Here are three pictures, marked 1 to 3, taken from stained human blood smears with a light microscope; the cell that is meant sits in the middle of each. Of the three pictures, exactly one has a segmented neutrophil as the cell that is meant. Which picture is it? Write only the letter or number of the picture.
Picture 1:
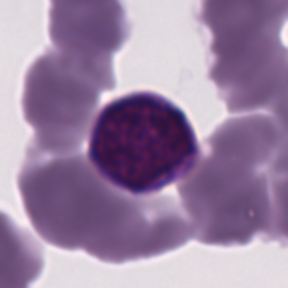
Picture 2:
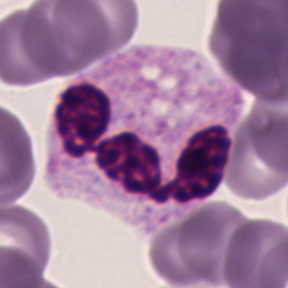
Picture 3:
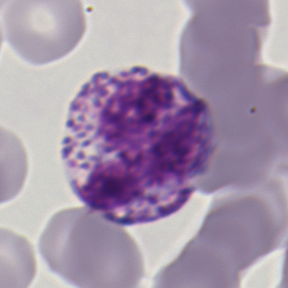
2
